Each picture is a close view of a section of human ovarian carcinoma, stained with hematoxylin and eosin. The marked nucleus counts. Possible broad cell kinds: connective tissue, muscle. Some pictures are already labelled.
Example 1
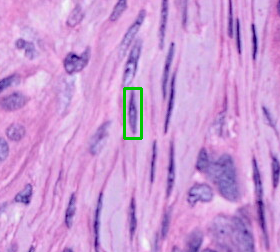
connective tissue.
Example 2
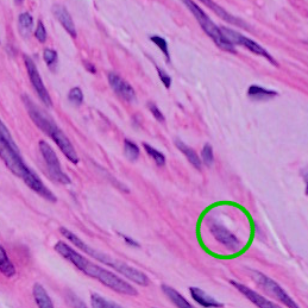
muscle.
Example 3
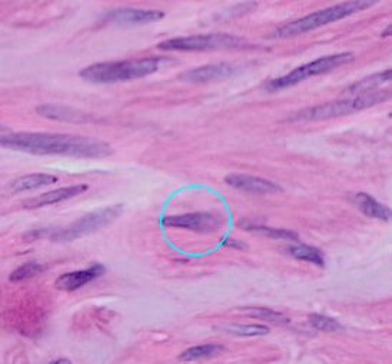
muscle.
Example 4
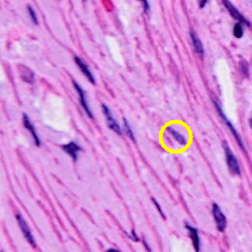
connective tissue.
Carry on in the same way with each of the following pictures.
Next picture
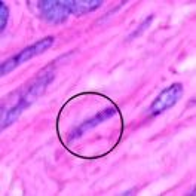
connective tissue.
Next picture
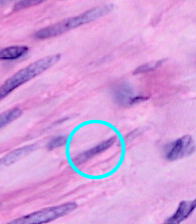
muscle.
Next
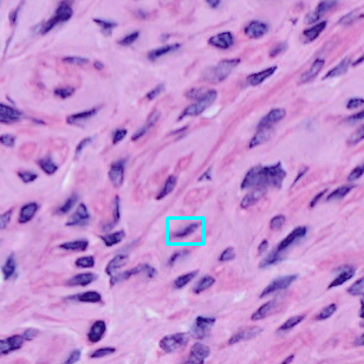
muscle.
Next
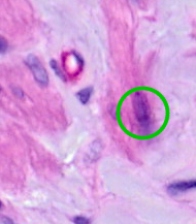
muscle.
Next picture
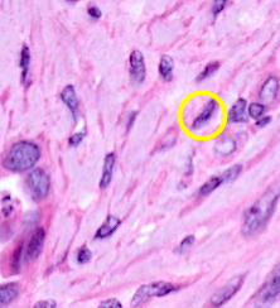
connective tissue.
